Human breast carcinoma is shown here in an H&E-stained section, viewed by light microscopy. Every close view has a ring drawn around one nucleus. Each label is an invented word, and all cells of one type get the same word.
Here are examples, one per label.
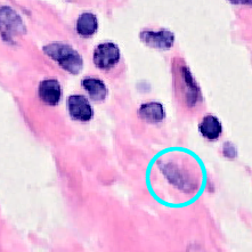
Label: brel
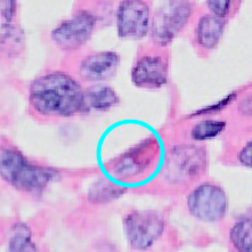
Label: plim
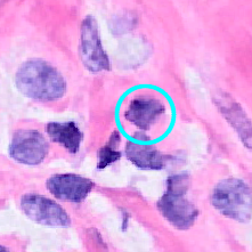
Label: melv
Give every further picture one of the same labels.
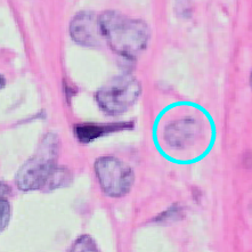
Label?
melv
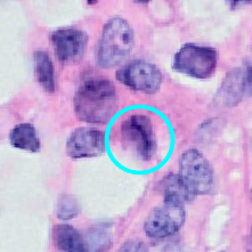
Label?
melv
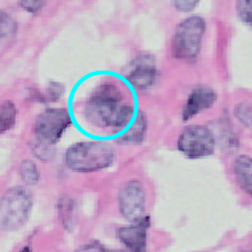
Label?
melv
